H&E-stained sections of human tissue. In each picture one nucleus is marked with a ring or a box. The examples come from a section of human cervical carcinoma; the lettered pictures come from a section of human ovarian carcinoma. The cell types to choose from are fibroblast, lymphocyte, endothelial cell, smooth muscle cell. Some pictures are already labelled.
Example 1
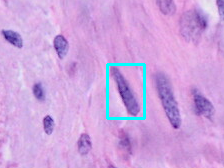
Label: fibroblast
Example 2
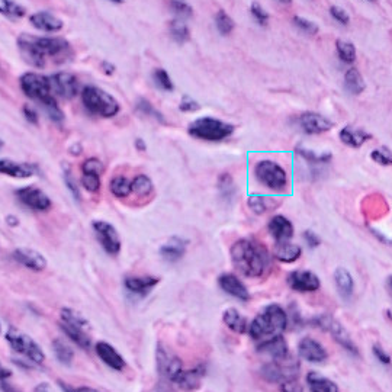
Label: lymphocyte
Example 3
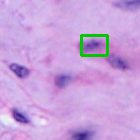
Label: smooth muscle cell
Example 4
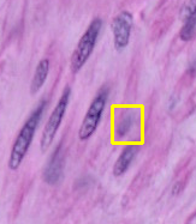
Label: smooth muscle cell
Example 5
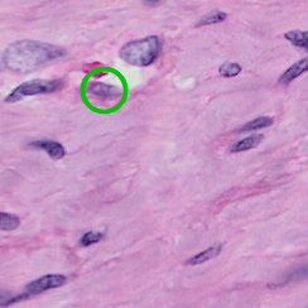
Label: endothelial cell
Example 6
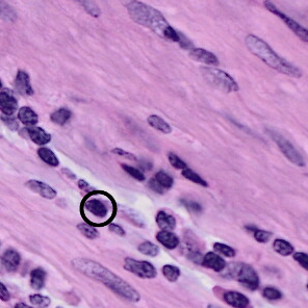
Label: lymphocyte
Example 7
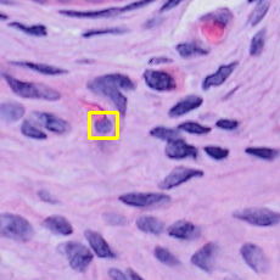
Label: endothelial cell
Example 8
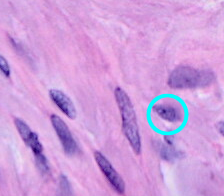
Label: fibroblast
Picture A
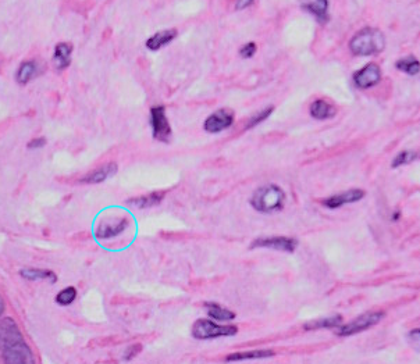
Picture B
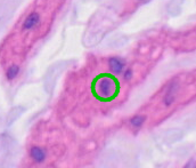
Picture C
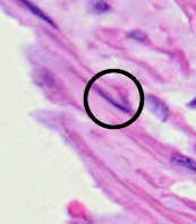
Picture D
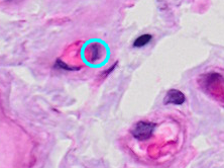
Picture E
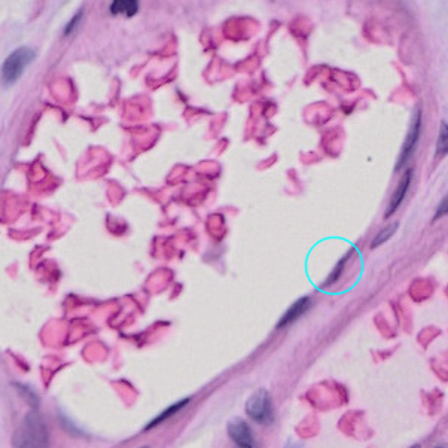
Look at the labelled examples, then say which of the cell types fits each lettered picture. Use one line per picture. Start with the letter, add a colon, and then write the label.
A: fibroblast
B: smooth muscle cell
C: fibroblast
D: endothelial cell
E: endothelial cell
